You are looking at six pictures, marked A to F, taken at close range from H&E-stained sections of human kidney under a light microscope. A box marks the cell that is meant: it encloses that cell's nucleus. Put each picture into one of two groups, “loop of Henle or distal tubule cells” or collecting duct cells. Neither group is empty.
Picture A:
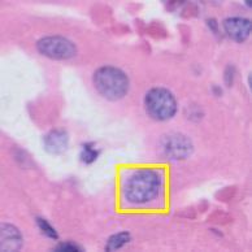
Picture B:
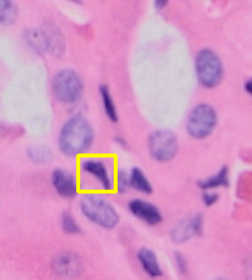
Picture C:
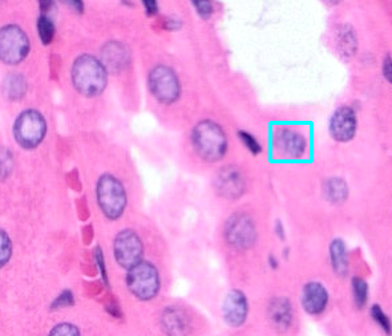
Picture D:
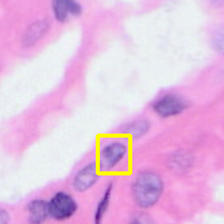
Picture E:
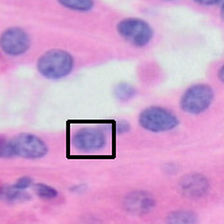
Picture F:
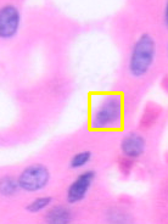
A: loop of Henle or distal tubule cell
B: collecting duct cell
C: loop of Henle or distal tubule cell
D: collecting duct cell
E: loop of Henle or distal tubule cell
F: collecting duct cell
